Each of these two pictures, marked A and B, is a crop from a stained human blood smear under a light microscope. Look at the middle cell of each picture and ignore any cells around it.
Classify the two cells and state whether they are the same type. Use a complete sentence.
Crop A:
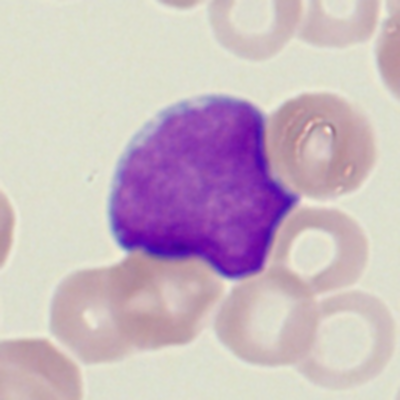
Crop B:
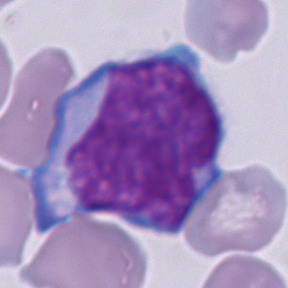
Yes, the two crops show blasts at their centres.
